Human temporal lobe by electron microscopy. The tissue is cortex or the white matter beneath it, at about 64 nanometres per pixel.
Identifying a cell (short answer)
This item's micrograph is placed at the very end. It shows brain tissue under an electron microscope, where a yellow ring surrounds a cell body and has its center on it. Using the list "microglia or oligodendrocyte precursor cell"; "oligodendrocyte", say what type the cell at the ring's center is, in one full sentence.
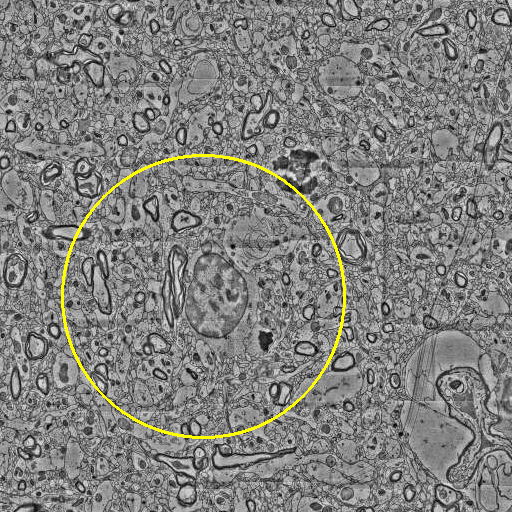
This picture shows an oligodendrocyte at the center of the yellow ring drawn on it.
